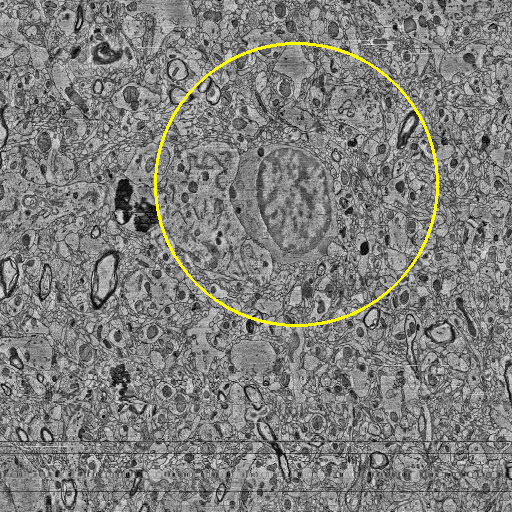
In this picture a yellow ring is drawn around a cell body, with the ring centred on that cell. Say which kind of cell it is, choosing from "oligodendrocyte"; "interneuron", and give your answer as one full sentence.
Here it is an oligodendrocyte that sits at the centre of the drawn yellow ring.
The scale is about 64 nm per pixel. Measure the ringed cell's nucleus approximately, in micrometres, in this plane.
The nucleus is about 7 micrometres in length and 4 in width, clearly longer than it is wide in this plane.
